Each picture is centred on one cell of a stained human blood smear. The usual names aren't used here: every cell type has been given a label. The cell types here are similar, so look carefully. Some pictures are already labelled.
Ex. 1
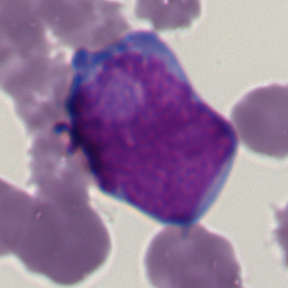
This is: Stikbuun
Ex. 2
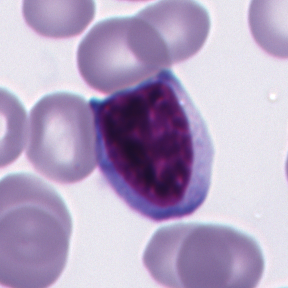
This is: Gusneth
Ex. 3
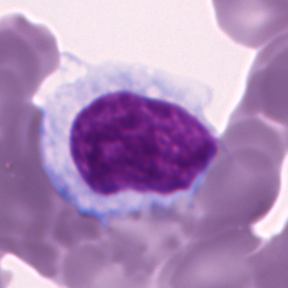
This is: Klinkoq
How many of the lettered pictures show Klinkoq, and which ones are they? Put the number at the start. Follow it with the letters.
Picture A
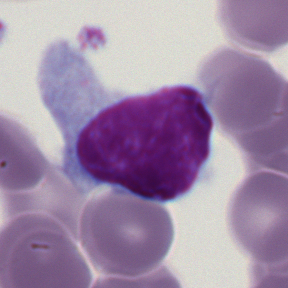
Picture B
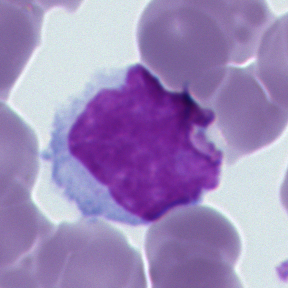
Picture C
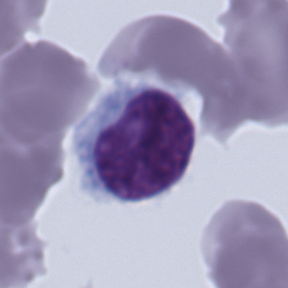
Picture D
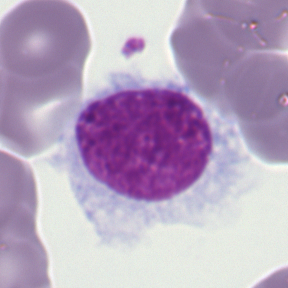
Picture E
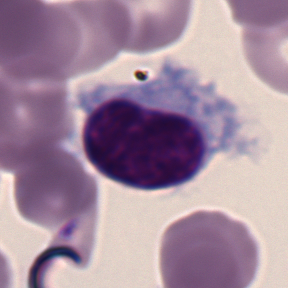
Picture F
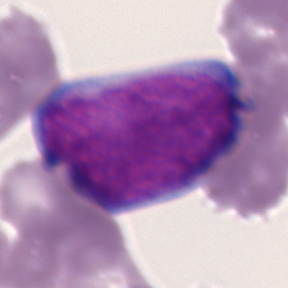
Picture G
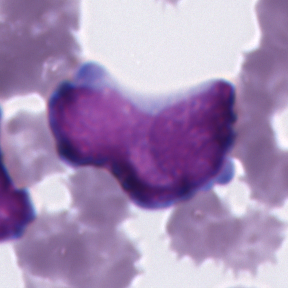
3, namely C, D, E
